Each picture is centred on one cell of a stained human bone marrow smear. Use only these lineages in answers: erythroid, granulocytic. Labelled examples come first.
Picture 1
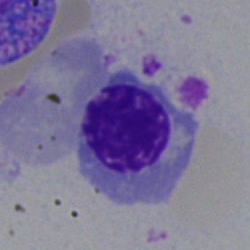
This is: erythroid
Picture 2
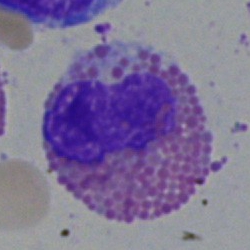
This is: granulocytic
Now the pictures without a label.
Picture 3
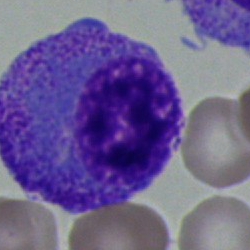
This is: granulocytic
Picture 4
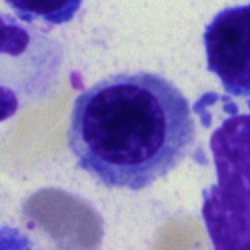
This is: erythroid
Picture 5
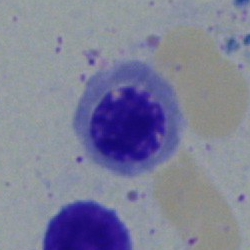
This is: erythroid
